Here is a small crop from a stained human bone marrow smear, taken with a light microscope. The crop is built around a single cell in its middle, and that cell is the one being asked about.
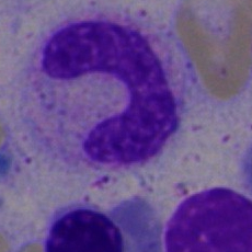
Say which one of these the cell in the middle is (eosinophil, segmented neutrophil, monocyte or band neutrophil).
band neutrophil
